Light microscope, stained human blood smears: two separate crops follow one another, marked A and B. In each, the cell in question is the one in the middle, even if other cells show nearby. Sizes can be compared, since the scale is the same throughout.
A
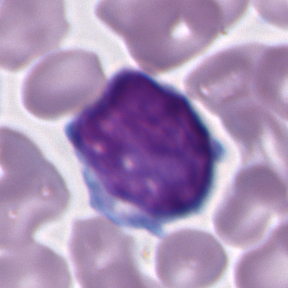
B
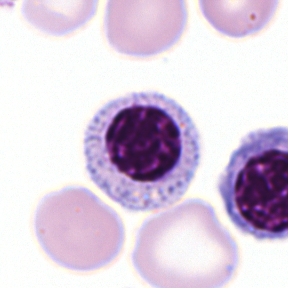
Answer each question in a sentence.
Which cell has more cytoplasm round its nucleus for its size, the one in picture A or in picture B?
Of the two, the nucleus in picture B leaves more room for cytoplasm.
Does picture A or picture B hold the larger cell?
It is the cell in picture A, about 1.5 times as large in area as the cell in picture B.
